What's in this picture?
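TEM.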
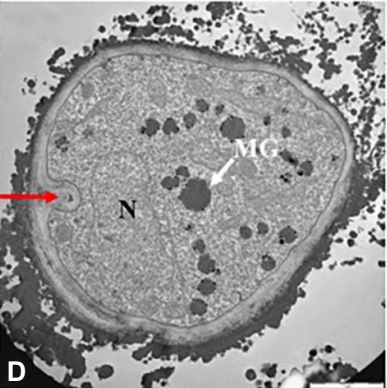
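Single rounded fungal cell in section, surrounded by a thick, smooth, layered cell wall with a dark granular outer coat. The cytoplasm is dense and finely granular, with few clear vacuoles; a large nucleus fills much of the interior. Scattered round, very electron-dense melanin granules of varying size lie in the cytoplasm, the largest near the centre. On the left side the wall forms a small rounded inward indentation. Many small dense granules lie outside the cell in the surrounding material.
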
